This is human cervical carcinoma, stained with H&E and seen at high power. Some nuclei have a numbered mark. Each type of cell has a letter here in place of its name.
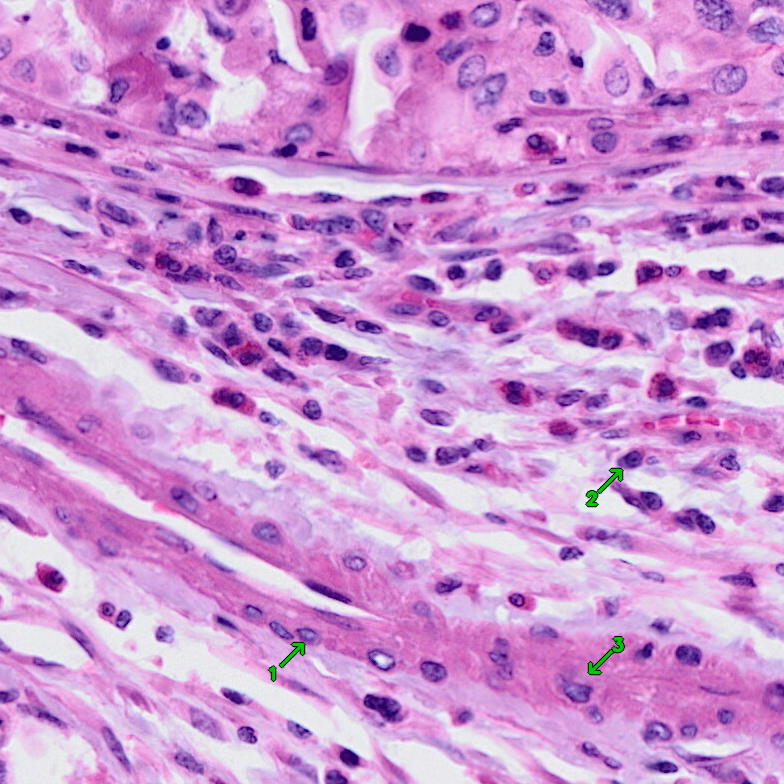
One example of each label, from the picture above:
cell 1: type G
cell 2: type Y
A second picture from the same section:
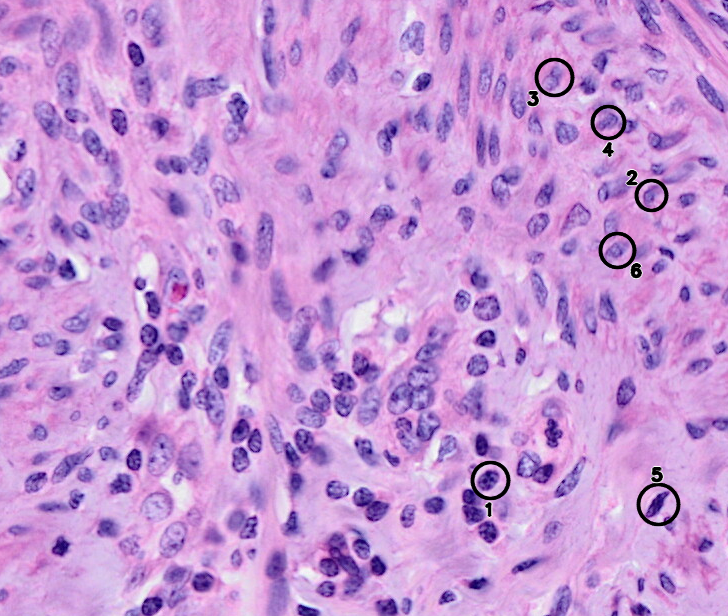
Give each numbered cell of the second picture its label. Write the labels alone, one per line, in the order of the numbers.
type Y
type G
type G
type G
type Y
type G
